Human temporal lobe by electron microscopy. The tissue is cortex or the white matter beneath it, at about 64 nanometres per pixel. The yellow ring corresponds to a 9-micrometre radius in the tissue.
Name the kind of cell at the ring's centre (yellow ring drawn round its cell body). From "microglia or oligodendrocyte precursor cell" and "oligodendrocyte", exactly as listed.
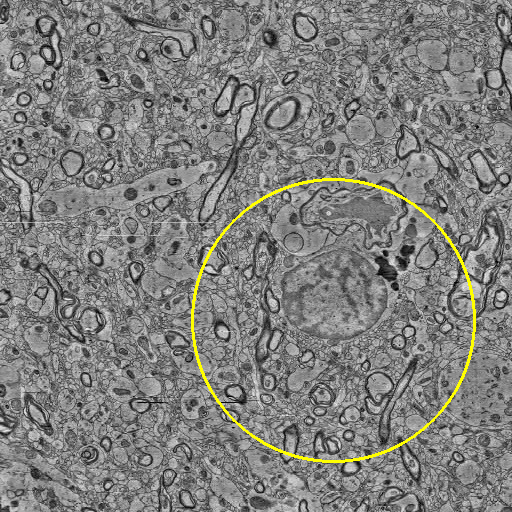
oligodendrocyte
